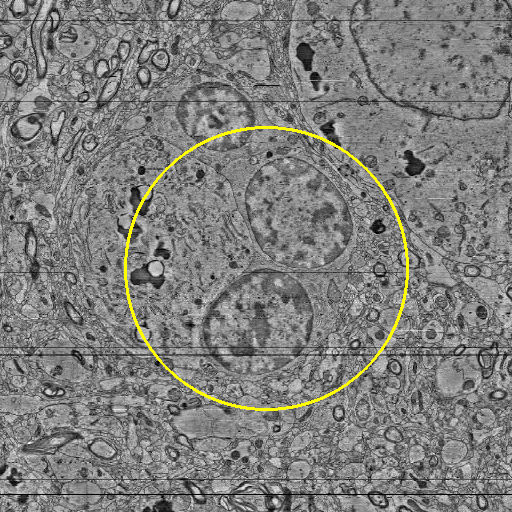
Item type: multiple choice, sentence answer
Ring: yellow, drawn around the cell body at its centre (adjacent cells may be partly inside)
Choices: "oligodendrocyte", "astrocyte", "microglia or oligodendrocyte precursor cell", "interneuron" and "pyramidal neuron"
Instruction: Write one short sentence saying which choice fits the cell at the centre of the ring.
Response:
This ring is drawn around an oligodendrocyte.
